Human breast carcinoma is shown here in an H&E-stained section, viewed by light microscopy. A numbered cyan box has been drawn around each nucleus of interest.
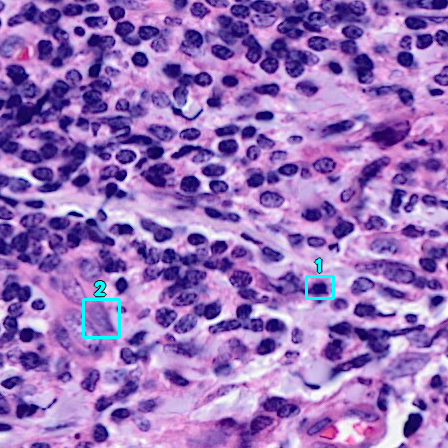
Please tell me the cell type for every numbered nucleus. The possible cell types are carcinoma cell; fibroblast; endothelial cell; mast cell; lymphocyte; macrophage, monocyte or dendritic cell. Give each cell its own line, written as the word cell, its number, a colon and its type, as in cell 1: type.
cell 1: lymphocyte
cell 2: endothelial cell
